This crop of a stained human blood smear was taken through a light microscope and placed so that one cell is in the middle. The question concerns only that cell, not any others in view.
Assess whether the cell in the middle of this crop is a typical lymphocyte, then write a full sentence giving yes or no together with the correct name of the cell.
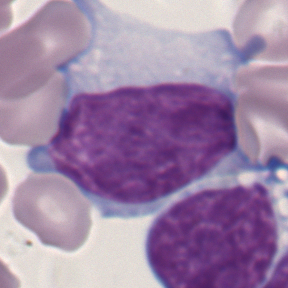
No, the central cell is reported as a myeloblast rather than as a typical lymphocyte.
